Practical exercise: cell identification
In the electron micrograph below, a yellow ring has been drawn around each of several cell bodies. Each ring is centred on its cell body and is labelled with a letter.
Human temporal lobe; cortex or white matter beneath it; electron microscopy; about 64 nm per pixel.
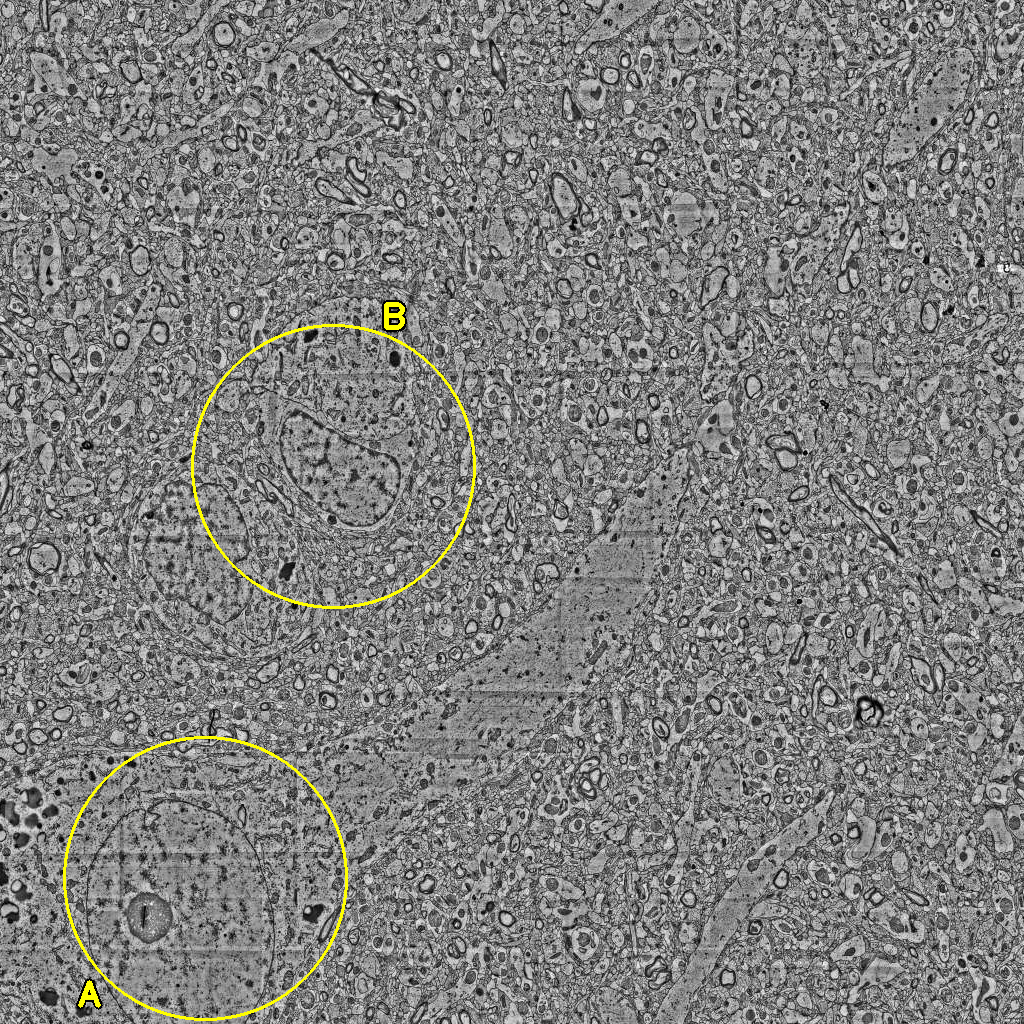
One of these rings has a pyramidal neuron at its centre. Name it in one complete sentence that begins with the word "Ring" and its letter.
Ring A has that cell at its centre.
